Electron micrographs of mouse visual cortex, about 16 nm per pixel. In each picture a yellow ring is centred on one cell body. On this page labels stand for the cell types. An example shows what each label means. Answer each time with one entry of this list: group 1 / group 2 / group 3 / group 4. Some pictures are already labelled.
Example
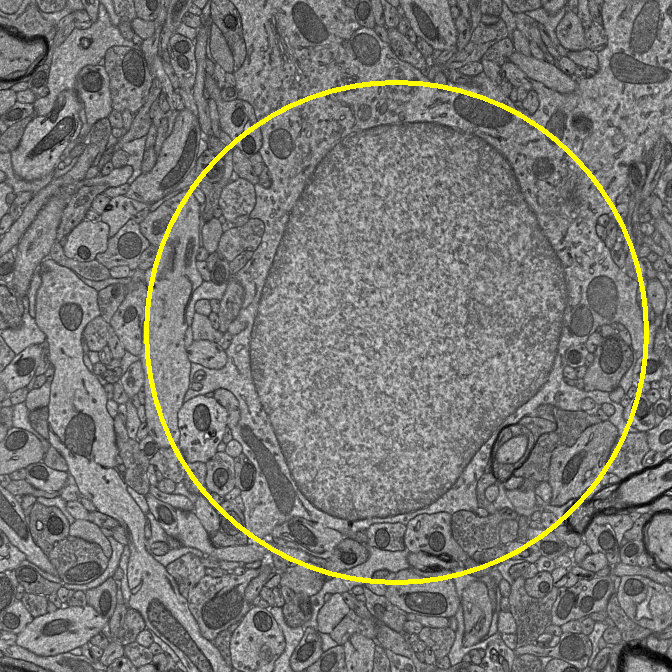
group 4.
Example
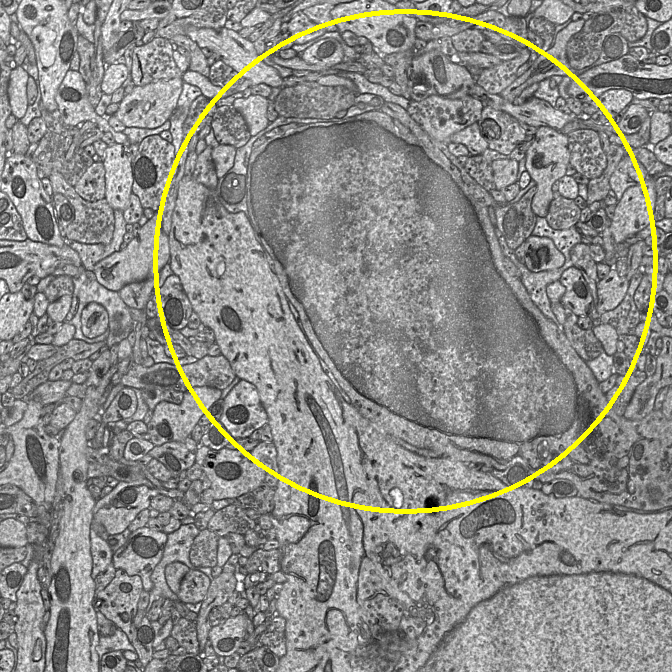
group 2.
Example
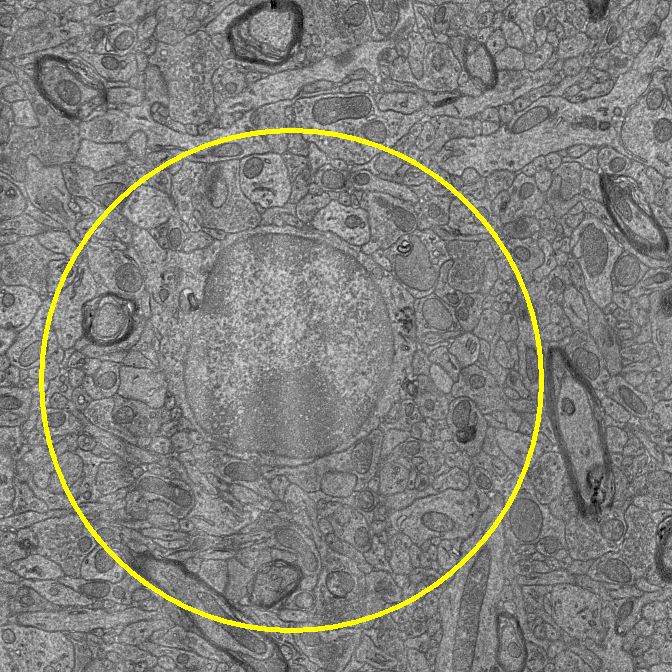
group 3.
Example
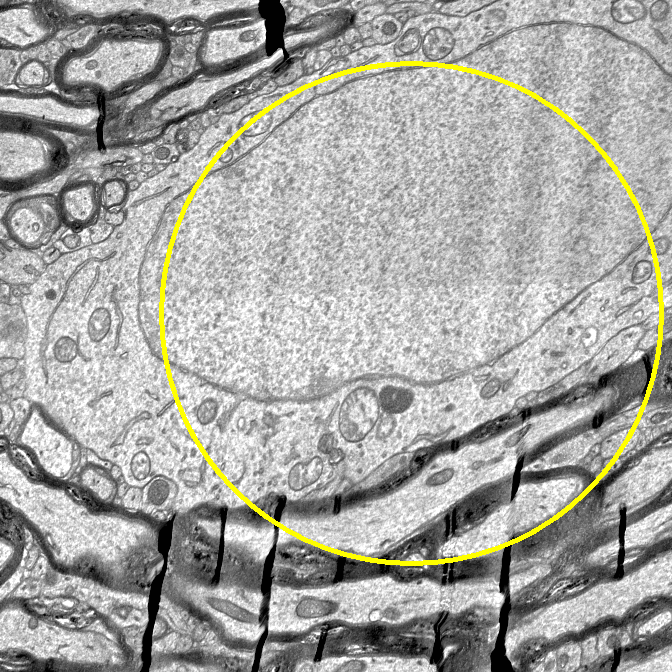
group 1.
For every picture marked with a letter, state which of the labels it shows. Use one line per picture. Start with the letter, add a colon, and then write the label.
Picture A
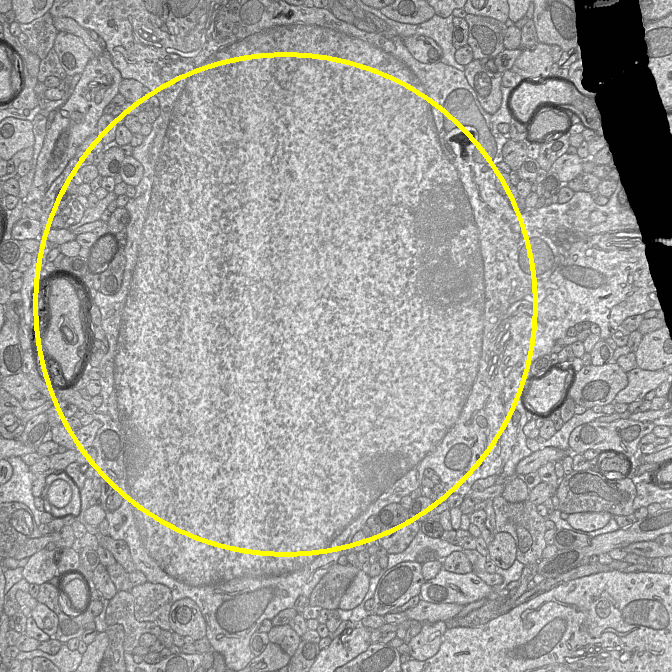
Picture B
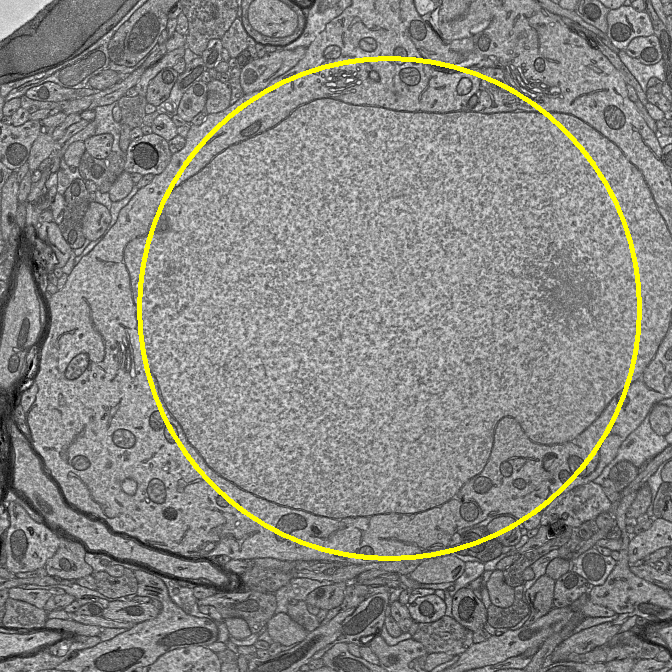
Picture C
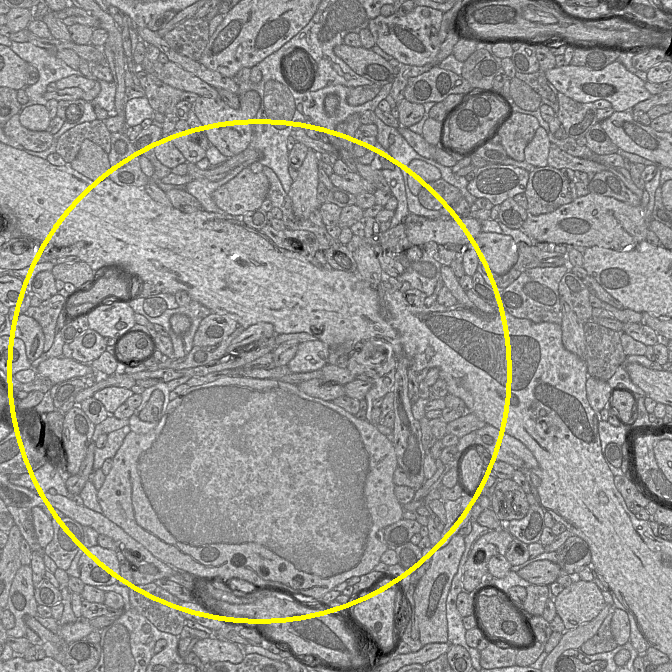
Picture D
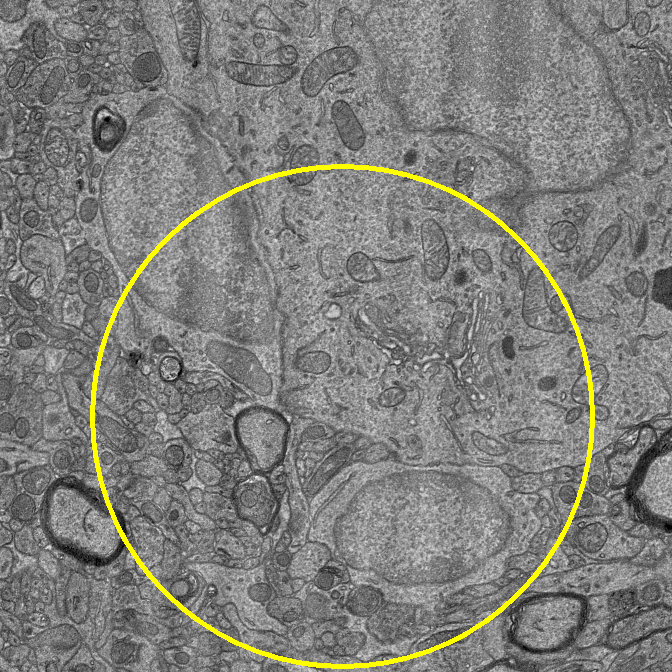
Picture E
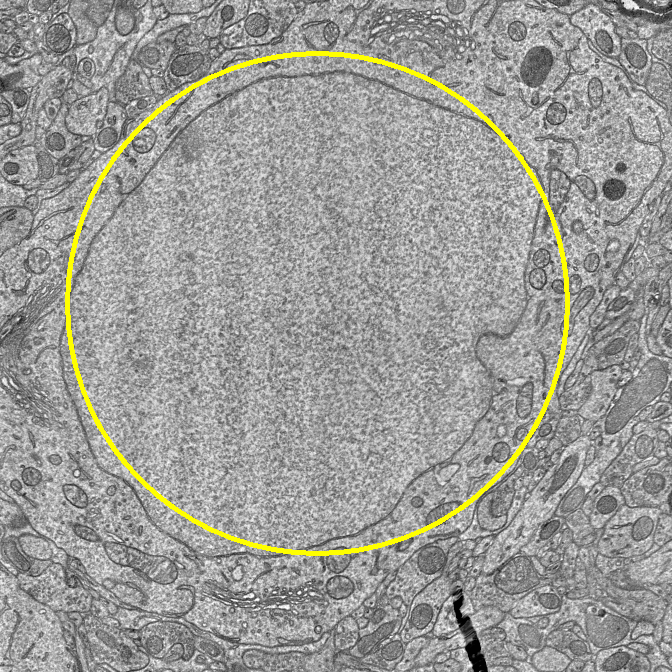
A: group 4.
B: group 1.
C: group 2.
D: group 3.
E: group 1.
